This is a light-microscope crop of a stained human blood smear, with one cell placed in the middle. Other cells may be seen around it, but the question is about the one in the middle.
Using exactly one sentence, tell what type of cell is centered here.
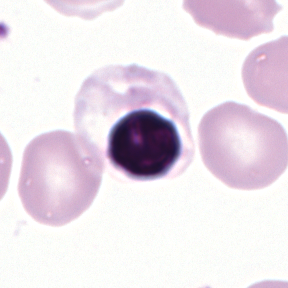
Classified as an erythroblast is the cell in the middle of this crop.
